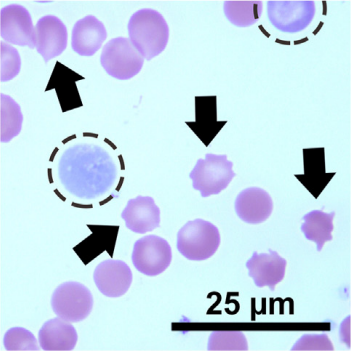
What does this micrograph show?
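Most red cells are pink, round, anucleate discs, some with a paler centre. Two larger round cells stain bluish-purple and have no nucleus. The cells lie scattered and mostly separate on a pale blue background.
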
